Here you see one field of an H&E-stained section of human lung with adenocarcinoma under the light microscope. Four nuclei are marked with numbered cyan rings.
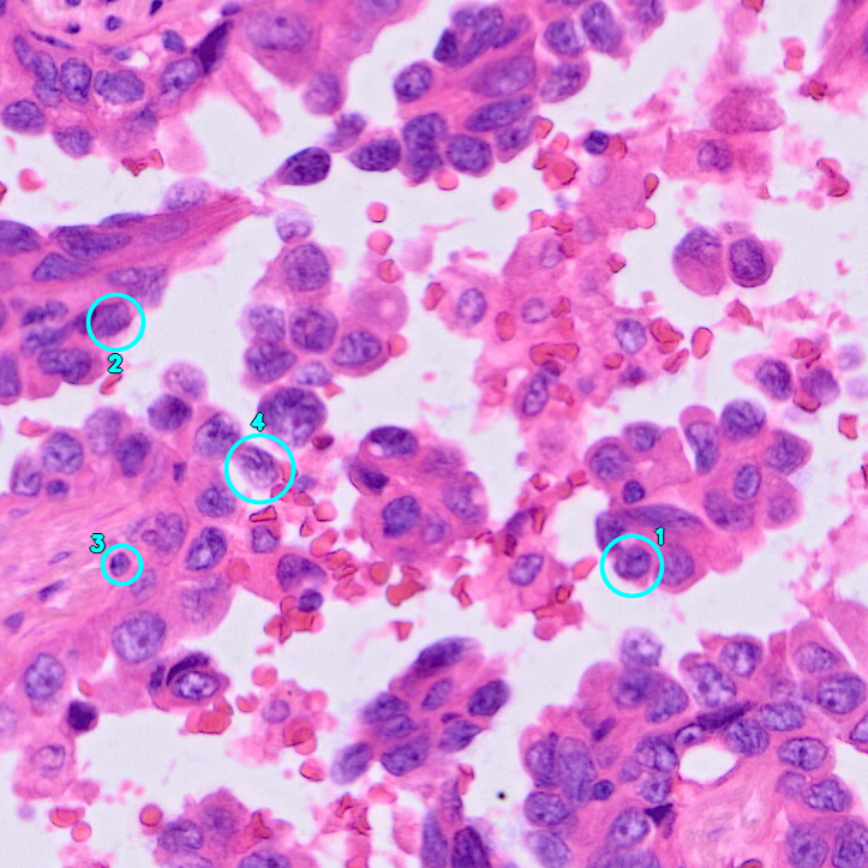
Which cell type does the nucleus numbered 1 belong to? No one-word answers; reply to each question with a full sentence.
The cell referenced by the number 1 is a carcinoma cell in this field.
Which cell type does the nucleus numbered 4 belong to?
In this section, number 4 marks a carcinoma cell.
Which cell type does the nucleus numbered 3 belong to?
The cell numbered 3 has been identified as a lymphocyte.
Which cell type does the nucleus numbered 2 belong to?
The cell referenced by the number 2 is a carcinoma cell in this field.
